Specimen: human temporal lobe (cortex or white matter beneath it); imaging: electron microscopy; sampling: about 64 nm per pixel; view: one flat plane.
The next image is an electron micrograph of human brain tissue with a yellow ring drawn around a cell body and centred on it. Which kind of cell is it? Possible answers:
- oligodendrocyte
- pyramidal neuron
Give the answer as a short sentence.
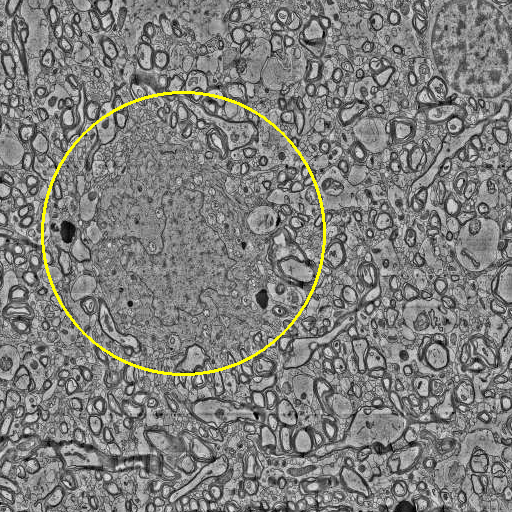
In the ring's centre is a pyramidal neuron.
